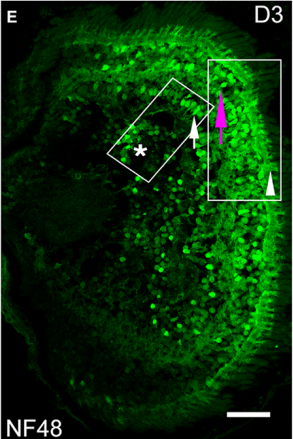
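This is a cross section of the whole eye in which very many round cell bodies are labelled in green across the retina. An outer rim of photoreceptors with striated outer segments borders a thick nuclear layer containing bipolar neurons. Amacrine cells lie at its inner edge, and ganglion cells form the innermost layer toward the lens.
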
